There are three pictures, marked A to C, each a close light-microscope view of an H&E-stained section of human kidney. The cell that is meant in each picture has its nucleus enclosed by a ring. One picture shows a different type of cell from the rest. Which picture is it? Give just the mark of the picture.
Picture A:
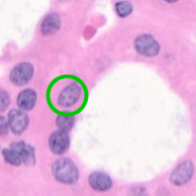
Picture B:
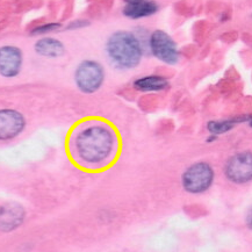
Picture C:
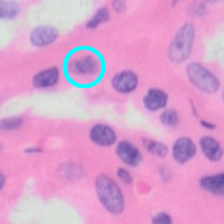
B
